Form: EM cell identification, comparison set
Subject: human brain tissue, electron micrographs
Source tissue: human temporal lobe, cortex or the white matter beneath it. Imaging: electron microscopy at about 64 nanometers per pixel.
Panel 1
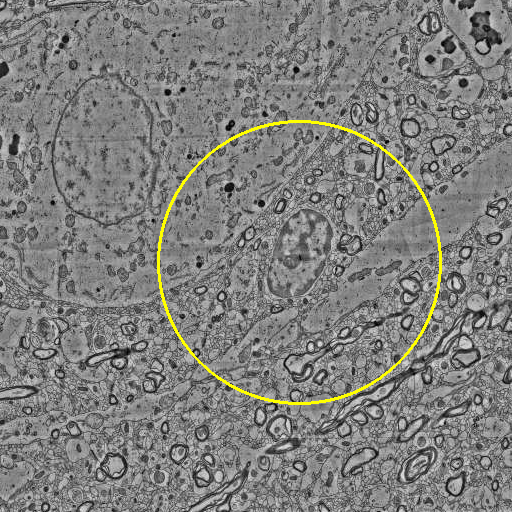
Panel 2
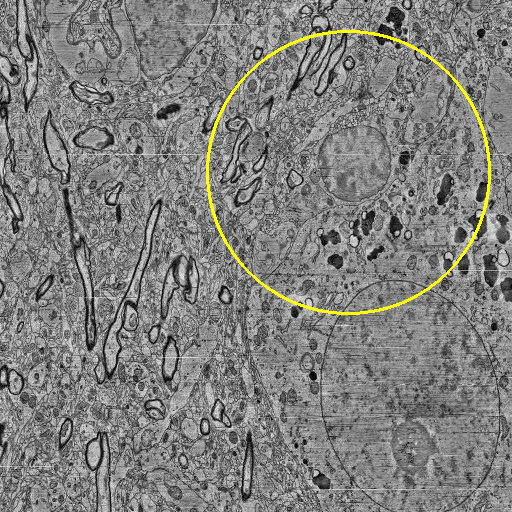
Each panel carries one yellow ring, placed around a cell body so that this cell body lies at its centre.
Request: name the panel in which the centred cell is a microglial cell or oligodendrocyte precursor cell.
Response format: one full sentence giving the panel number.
Panel 1 has it at the centre of its ring.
